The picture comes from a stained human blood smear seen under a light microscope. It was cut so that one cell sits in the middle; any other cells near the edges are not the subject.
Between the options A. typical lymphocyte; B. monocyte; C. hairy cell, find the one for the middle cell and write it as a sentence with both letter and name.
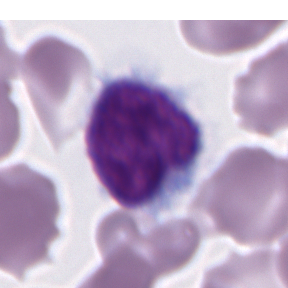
As the central cell is a hairy cell, option C is correct.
